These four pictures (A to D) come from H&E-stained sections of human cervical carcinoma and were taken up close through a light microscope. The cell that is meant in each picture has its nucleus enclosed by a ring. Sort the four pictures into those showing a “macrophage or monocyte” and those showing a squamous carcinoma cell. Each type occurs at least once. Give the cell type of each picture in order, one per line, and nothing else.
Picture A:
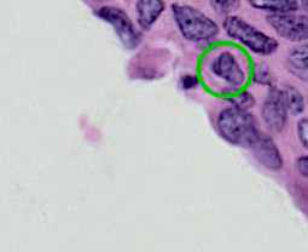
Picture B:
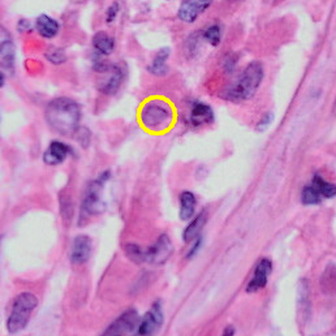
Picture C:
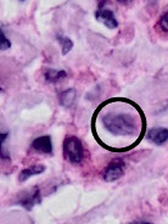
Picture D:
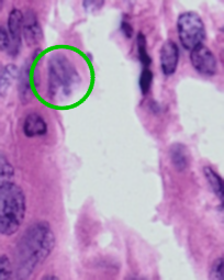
squamous carcinoma cell
macrophage or monocyte
macrophage or monocyte
squamous carcinoma cell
